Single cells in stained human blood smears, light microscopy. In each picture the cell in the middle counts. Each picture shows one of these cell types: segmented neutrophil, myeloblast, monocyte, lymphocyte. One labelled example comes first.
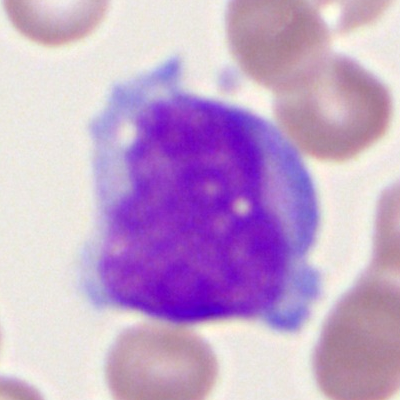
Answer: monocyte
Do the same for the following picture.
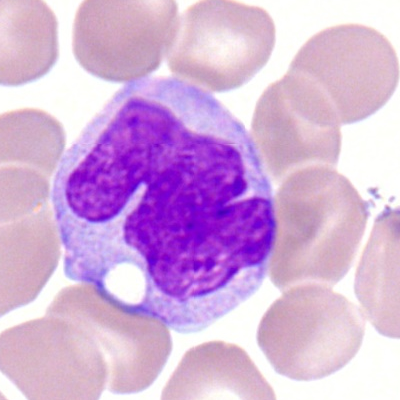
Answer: monocyte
